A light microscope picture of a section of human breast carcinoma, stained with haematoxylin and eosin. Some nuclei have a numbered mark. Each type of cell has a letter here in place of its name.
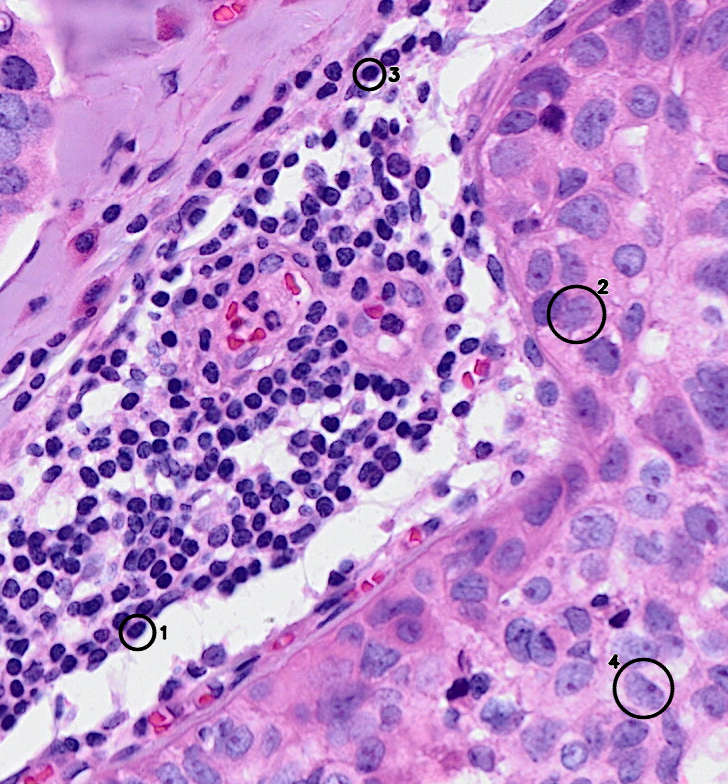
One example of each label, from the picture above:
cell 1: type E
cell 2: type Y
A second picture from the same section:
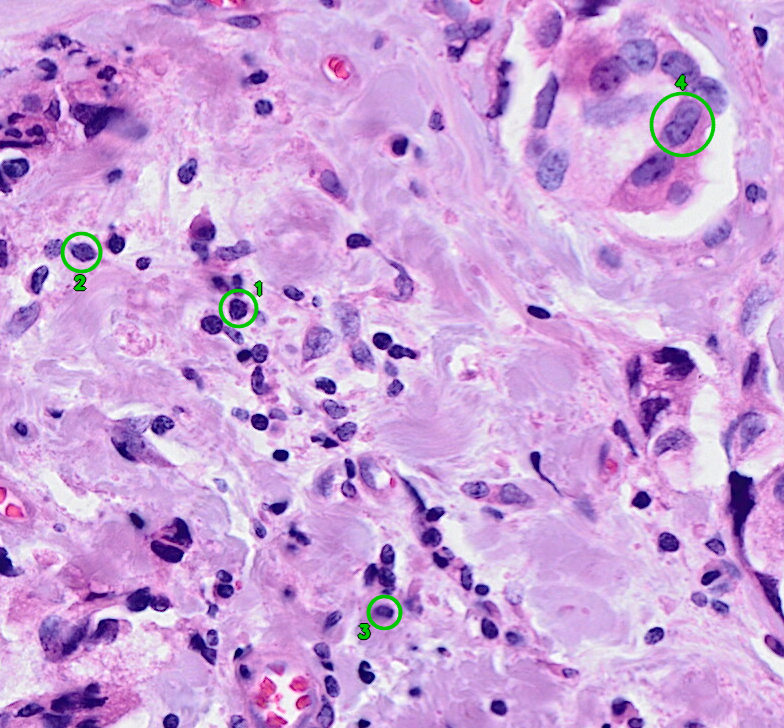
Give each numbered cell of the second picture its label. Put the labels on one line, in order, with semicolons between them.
type E; type E; type E; type Y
